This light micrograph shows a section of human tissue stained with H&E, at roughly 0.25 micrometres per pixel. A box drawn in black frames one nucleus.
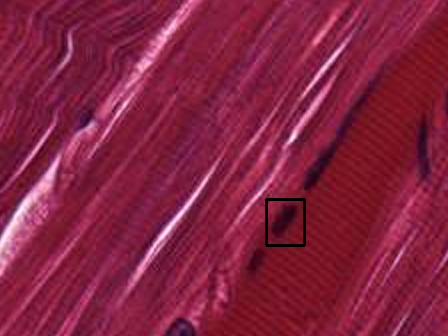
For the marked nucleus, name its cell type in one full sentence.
The marked nucleus here is the nucleus of a skeletal muscle fibre.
